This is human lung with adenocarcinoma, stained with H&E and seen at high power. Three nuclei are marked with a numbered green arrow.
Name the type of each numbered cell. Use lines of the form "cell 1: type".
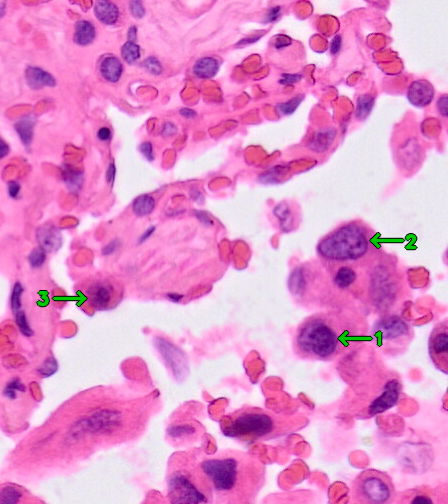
cell 1: carcinoma cell
cell 2: carcinoma cell
cell 3: macrophage or monocyte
